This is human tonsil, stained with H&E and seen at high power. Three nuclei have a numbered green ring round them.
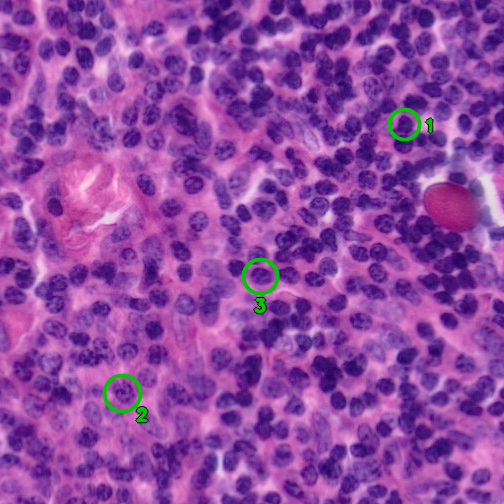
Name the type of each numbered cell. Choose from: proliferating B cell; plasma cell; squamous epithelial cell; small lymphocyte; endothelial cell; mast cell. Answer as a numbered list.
1. small lymphocyte
2. plasma cell
3. plasma cell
